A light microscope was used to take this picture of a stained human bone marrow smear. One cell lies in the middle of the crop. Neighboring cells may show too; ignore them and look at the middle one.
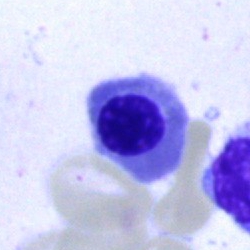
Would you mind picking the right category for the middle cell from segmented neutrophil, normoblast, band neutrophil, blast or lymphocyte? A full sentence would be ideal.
In short, the cell at the center is a normoblast.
